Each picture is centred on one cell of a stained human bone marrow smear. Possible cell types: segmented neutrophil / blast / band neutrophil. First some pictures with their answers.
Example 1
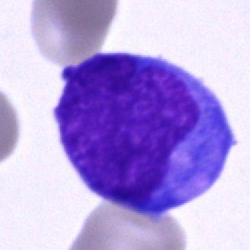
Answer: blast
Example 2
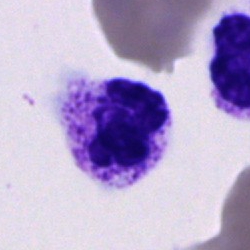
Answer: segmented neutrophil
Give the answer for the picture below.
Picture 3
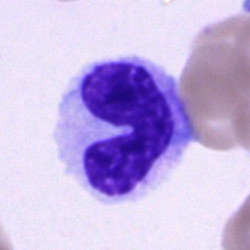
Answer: band neutrophil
